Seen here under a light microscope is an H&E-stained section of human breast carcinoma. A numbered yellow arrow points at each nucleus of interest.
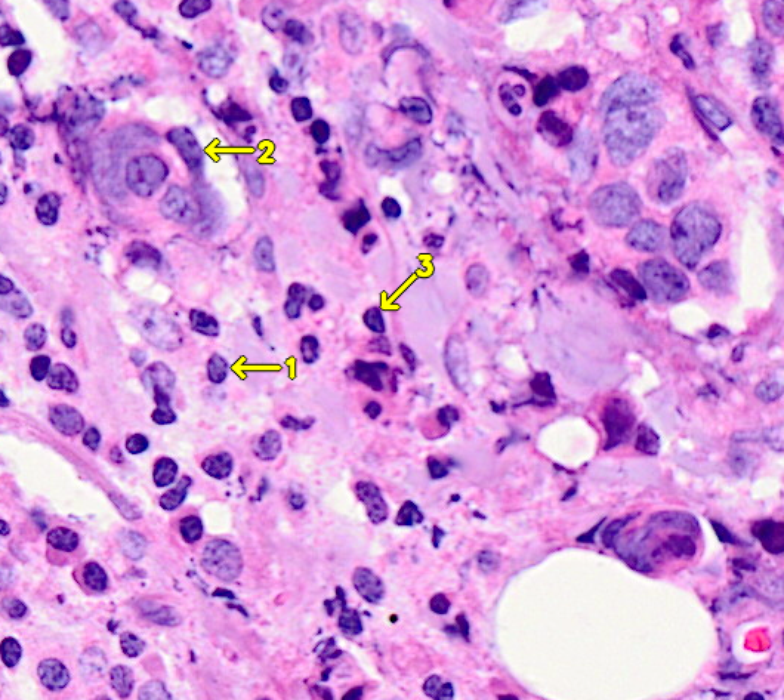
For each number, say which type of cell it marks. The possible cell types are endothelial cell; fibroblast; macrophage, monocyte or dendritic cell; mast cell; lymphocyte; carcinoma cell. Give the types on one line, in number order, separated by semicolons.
lymphocyte; carcinoma cell; lymphocyte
